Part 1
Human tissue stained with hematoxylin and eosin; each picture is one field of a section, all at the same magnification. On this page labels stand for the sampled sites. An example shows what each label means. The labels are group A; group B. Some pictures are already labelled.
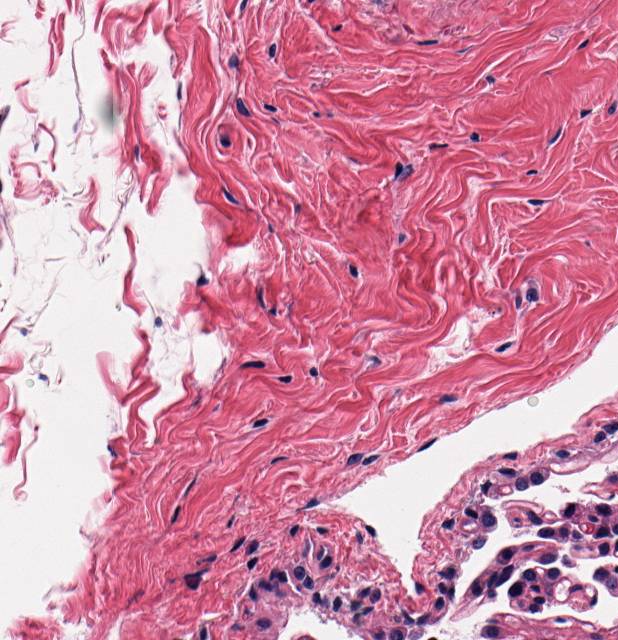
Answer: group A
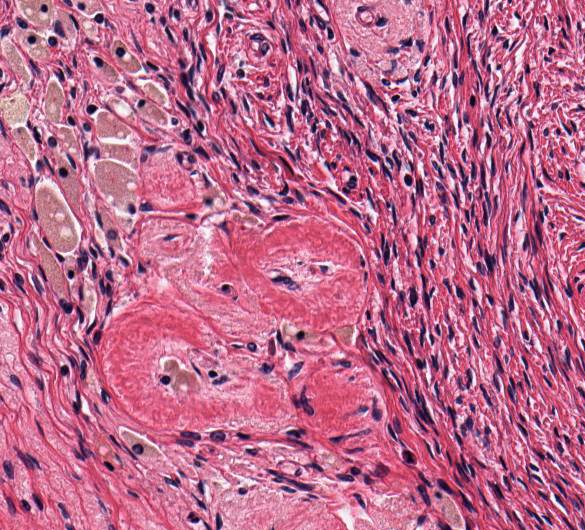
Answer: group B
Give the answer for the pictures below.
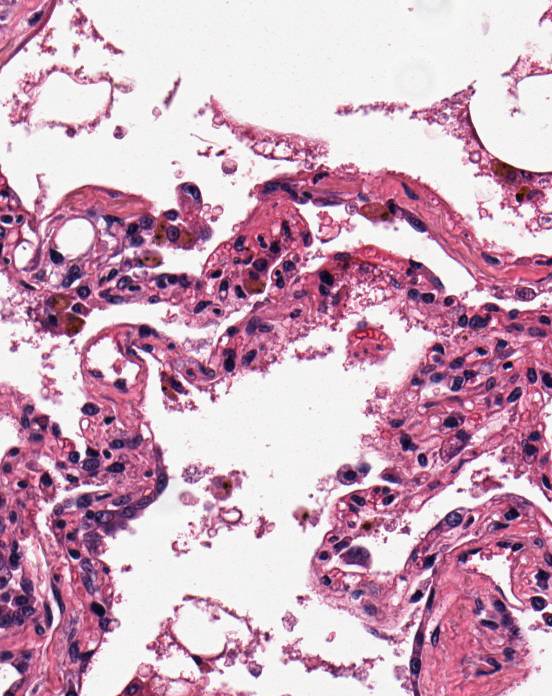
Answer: group A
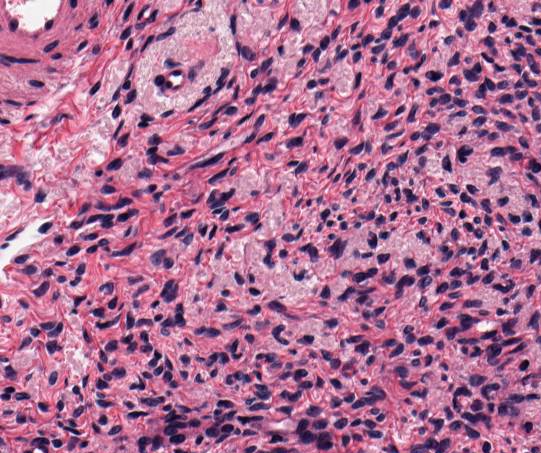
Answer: group B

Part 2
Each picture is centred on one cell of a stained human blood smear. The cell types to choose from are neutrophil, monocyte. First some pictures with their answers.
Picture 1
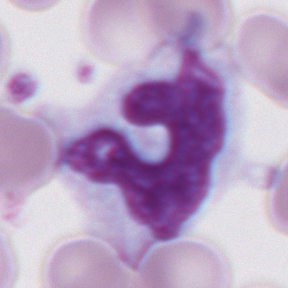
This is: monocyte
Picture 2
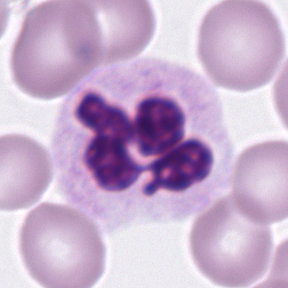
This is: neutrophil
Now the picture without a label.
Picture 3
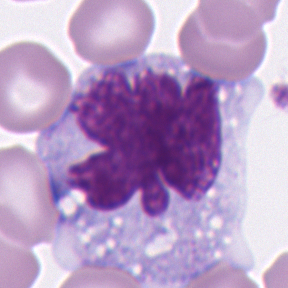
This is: monocyte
